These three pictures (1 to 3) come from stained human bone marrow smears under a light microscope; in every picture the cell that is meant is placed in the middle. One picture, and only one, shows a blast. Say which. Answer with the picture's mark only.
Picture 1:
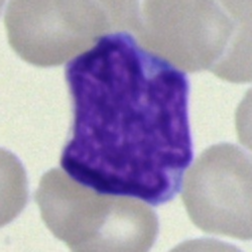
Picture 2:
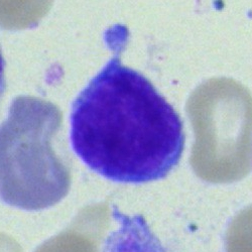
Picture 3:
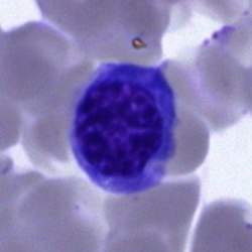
1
